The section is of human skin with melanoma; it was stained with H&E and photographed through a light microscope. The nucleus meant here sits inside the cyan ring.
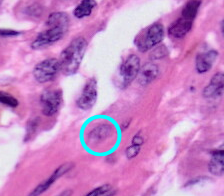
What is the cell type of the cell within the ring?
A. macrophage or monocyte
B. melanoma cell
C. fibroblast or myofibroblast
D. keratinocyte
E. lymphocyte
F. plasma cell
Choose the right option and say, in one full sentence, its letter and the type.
Of the options given, B is right: the cell within the ring is a melanoma cell.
